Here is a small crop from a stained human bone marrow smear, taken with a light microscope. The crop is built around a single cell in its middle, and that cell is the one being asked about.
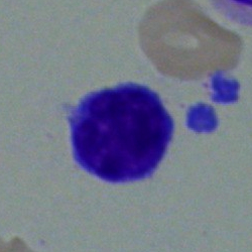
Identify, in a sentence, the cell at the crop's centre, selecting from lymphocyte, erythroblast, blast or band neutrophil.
By classification, the middle cell of this crop is a lymphocyte.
